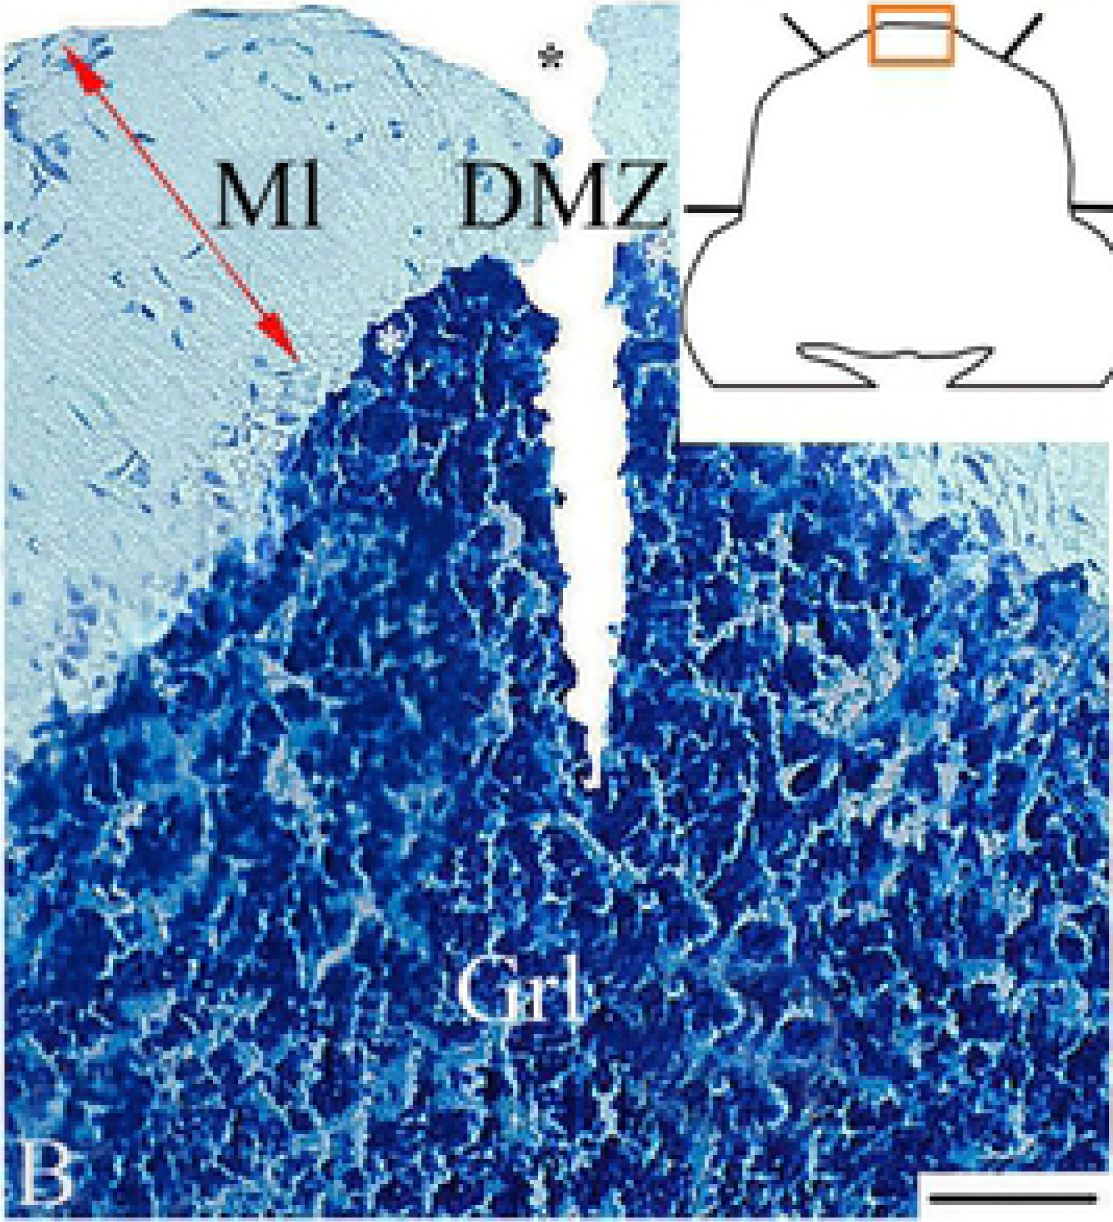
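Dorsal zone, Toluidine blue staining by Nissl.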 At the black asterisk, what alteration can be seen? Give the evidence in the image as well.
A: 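A cleft splits the tissue from the surface down into the dense dark-blue layer. The black asterisk sits at the top of this cleft. The answer: area of injury.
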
